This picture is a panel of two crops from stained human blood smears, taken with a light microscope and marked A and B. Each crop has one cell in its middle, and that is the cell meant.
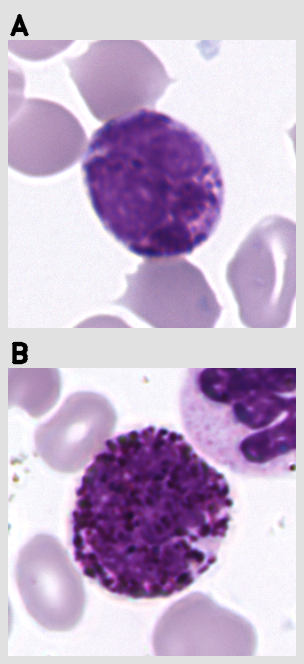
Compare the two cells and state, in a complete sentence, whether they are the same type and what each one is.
Yes, the two crops show basophils at their centres.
